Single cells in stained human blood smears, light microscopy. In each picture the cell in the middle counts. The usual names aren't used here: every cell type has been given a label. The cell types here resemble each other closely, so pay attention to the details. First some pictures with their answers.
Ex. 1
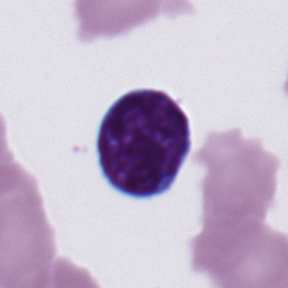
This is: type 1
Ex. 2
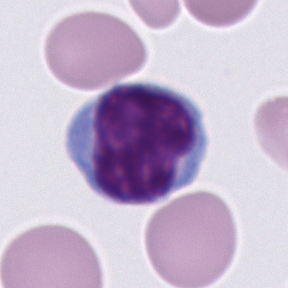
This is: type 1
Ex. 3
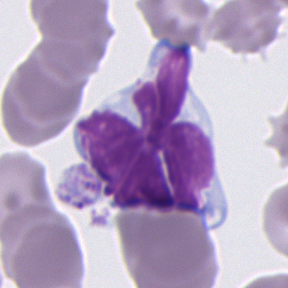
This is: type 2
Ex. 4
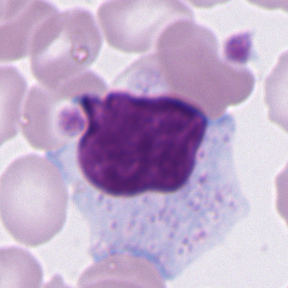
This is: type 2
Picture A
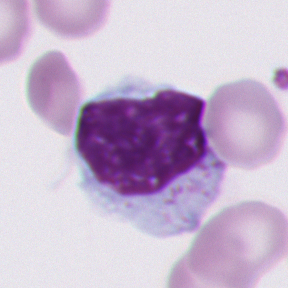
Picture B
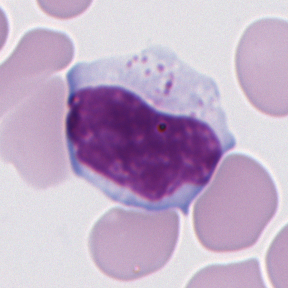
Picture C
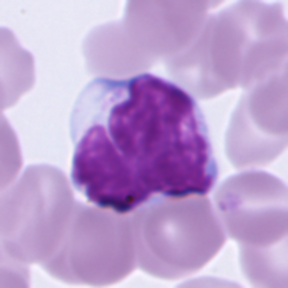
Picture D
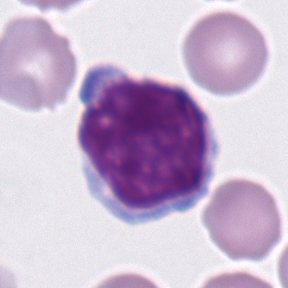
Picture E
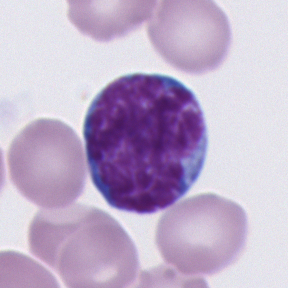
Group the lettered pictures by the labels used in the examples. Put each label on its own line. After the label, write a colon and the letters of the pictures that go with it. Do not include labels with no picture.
type 1: D, E
type 2: A, B, C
